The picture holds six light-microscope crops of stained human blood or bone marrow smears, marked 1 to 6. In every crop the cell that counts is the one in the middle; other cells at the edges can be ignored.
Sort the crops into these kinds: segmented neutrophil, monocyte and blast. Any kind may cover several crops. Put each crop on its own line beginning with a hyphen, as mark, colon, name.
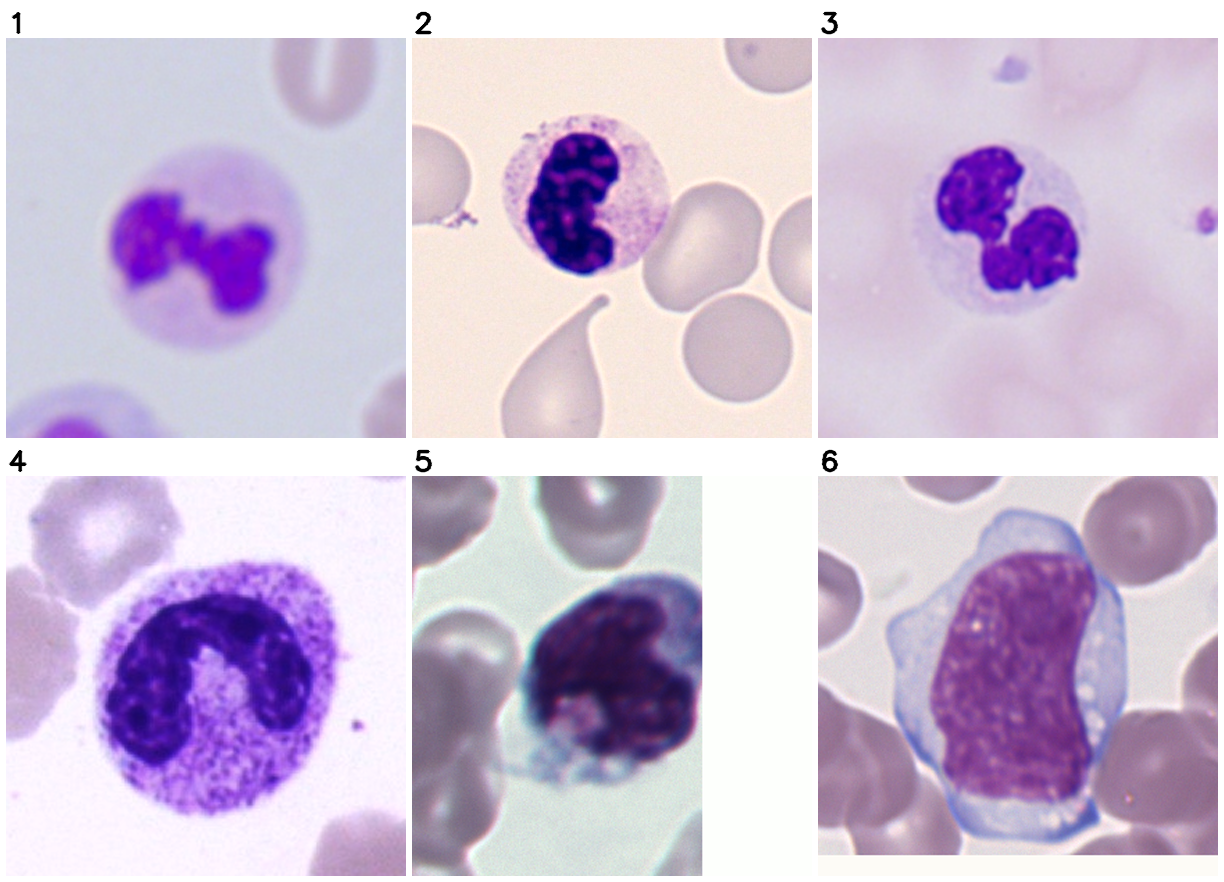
- 1: segmented neutrophil
- 2: segmented neutrophil
- 3: segmented neutrophil
- 4: segmented neutrophil
- 5: monocyte
- 6: blast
